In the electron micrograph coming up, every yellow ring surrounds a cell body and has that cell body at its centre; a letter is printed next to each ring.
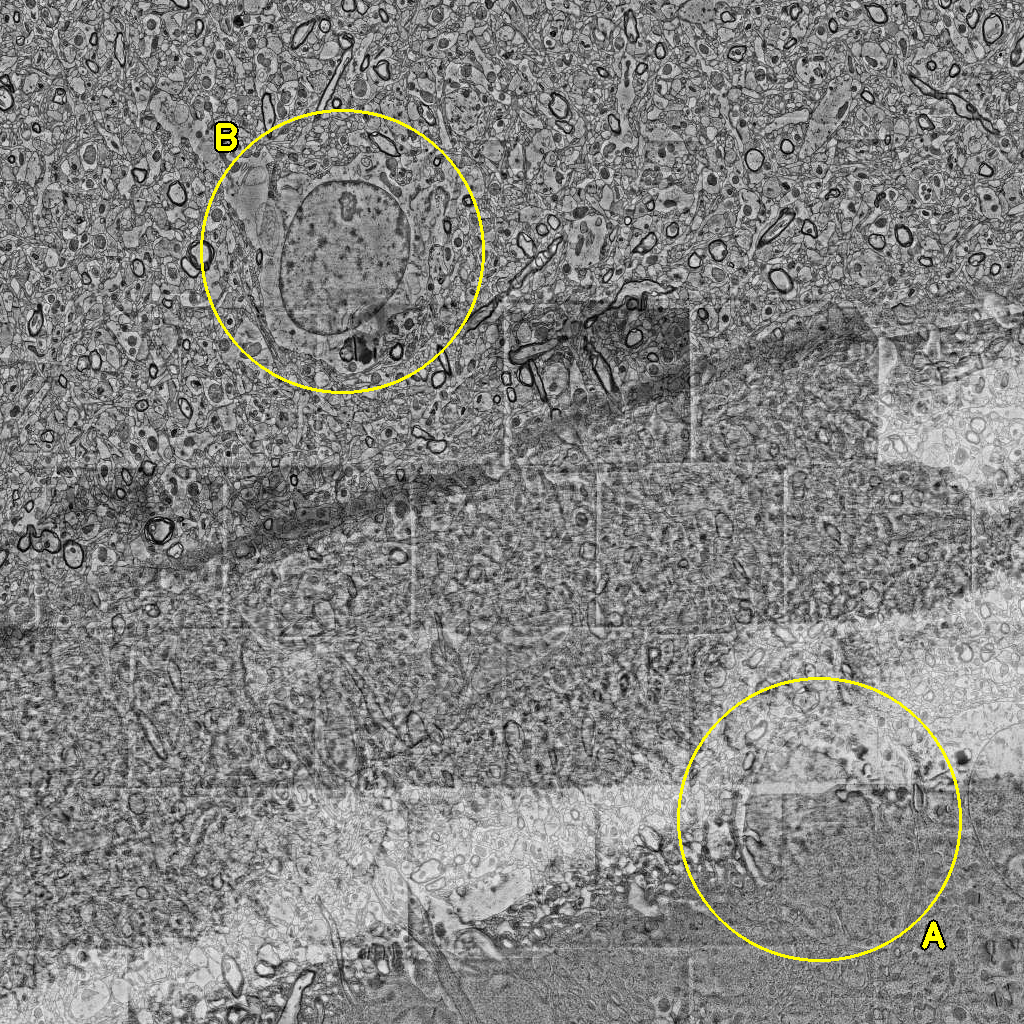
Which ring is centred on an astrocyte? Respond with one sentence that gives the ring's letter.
Ring B is the one whose centre sits on the cell asked for in the picture.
